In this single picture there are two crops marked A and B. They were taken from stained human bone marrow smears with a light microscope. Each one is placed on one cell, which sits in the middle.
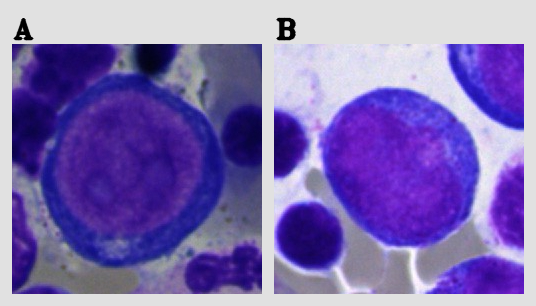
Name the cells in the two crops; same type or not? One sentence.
Yes, both crops show proerythroblasts as their central cells.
